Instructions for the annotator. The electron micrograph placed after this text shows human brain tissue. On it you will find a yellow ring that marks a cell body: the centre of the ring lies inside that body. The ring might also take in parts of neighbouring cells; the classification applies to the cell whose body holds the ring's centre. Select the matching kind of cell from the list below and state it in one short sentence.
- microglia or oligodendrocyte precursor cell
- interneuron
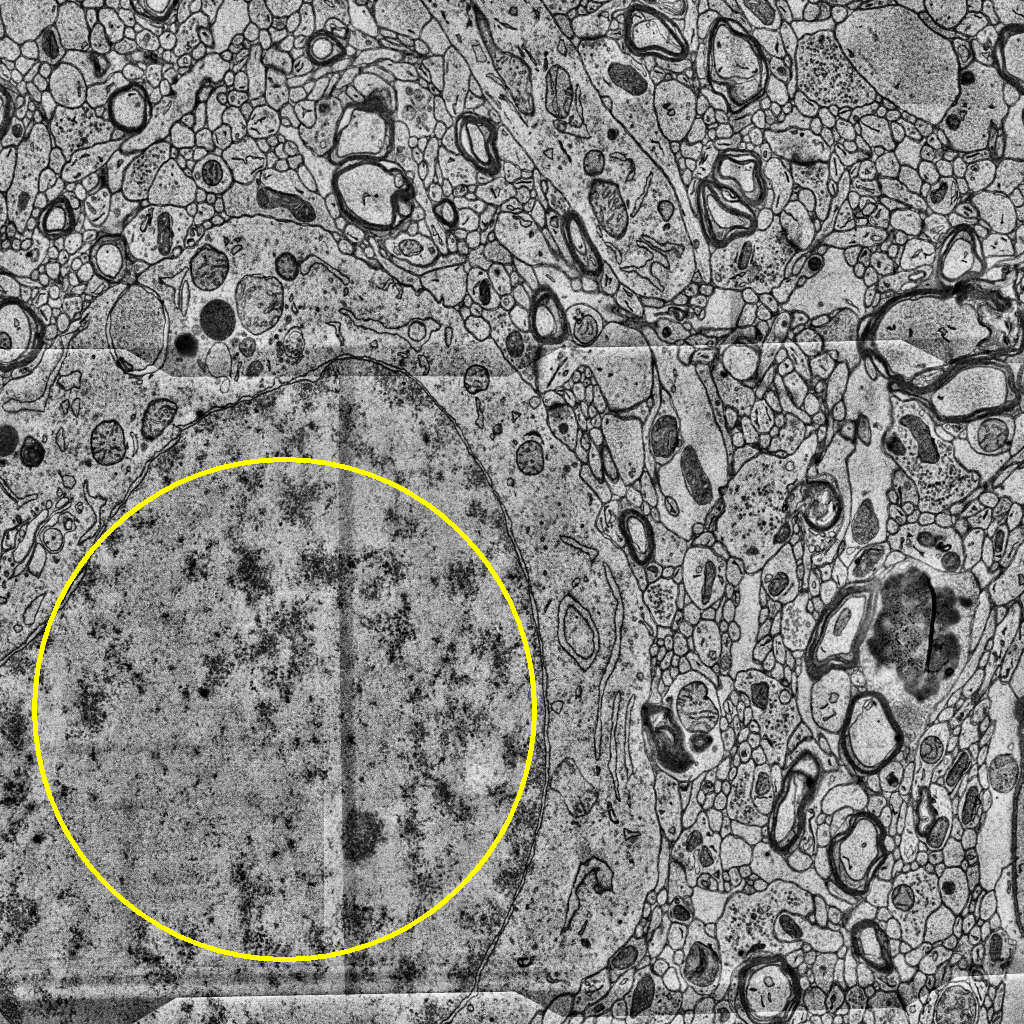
The centre of the ring lies in the cell body of an interneuron.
